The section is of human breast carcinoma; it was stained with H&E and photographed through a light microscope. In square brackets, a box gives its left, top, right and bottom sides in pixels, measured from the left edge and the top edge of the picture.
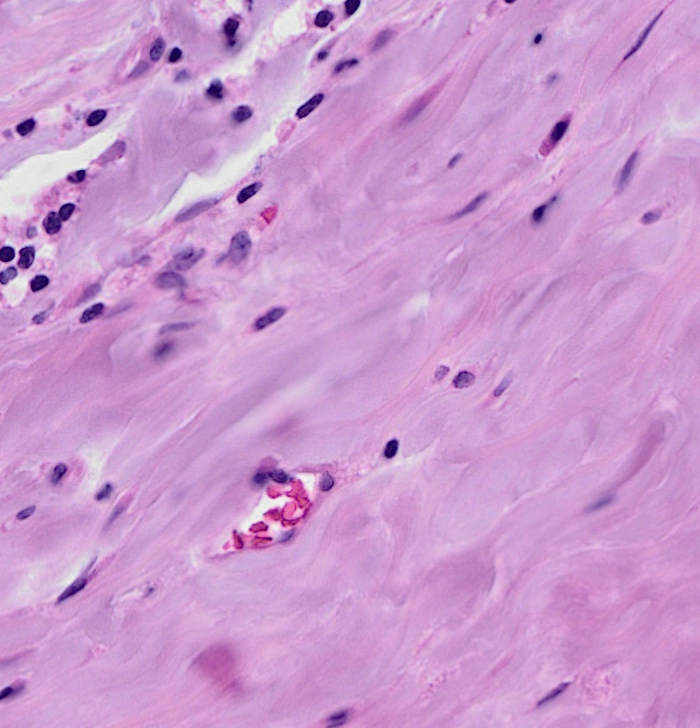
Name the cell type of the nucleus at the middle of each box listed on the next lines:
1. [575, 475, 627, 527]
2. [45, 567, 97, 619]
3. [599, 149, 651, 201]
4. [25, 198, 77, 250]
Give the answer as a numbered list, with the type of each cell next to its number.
1. fibroblast
2. fibroblast
3. fibroblast
4. lymphocyte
